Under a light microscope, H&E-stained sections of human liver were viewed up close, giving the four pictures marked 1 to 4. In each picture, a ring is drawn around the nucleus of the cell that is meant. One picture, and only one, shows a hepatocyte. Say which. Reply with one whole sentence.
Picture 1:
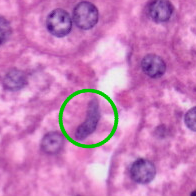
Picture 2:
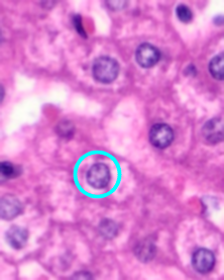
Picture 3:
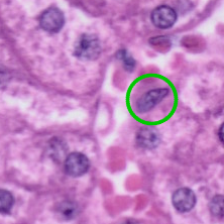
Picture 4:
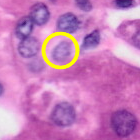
Picture 2 shows the hepatocyte.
